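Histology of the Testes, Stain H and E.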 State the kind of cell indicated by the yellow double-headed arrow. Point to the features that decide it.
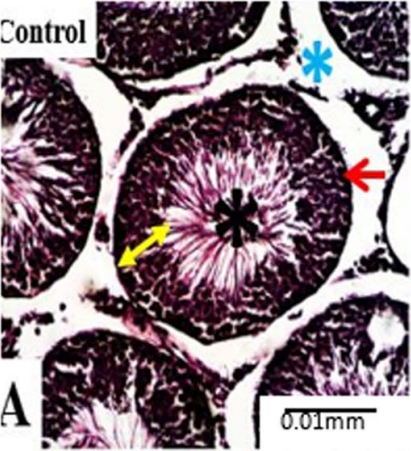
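The arrow spans the thick layer of densely packed dark nuclei between tubule wall and lumen. The cells are stacked in several layers. On this evidence: spermatogenic cells.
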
